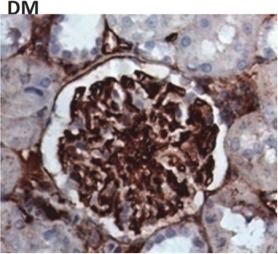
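This is a large glomerulus of the kidney cortex, enclosed by its capsule and ringed by renal tubules. The tuft is densely filled with dark brown deposits that crowd the spaces between the capillary loops, so that few blue nuclei show through. A clear space runs between the tuft and the thin outer capsule, whose lining is also outlined in brown. The surrounding tubules are cut across and have pale, rather large cells with round blue nuclei.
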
